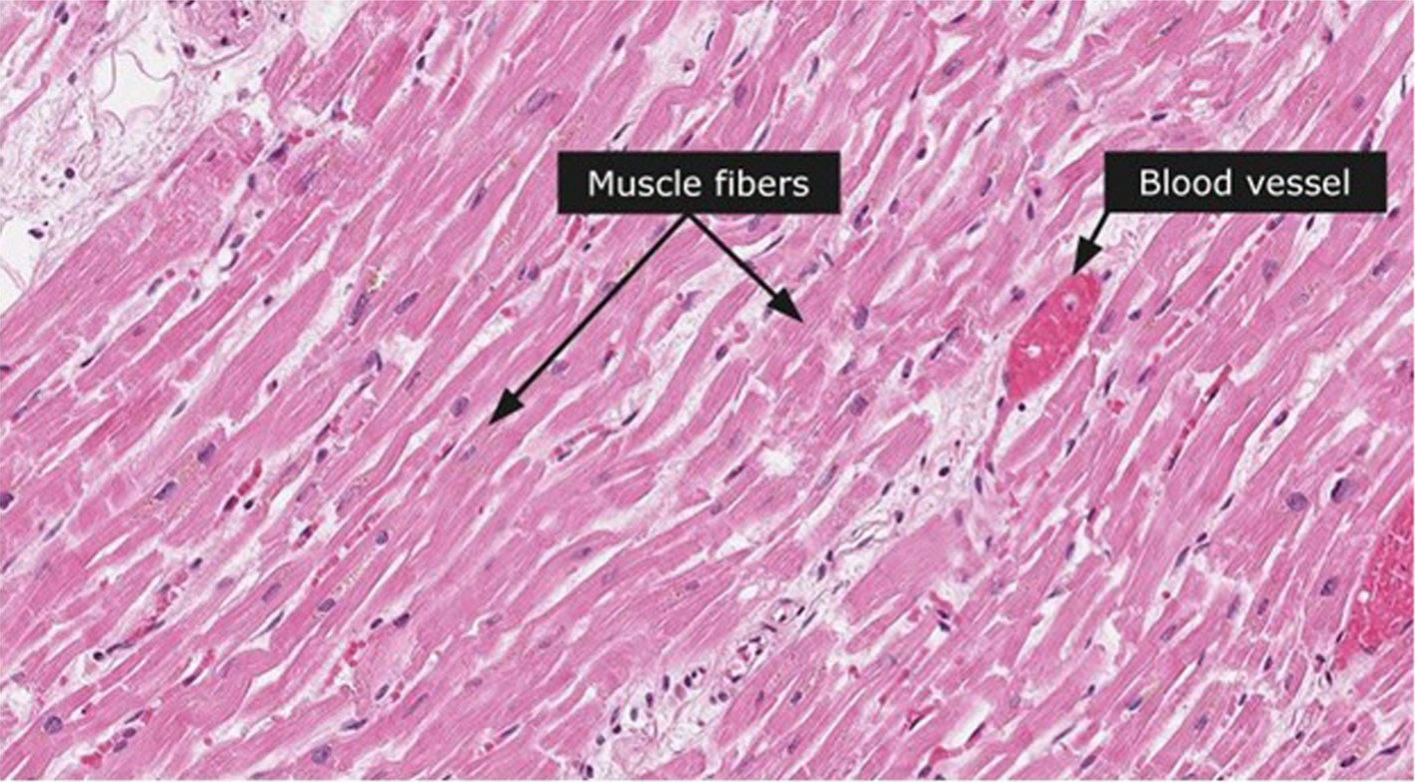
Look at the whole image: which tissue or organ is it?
Myocardium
